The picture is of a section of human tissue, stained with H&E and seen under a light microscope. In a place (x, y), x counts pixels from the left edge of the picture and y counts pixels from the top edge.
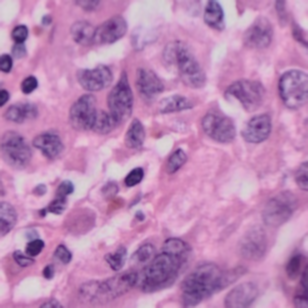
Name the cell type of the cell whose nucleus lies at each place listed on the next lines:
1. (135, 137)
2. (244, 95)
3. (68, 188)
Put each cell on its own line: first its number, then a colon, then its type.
1: macrophage or monocyte
2: melanoma cell
3: lymphocyte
